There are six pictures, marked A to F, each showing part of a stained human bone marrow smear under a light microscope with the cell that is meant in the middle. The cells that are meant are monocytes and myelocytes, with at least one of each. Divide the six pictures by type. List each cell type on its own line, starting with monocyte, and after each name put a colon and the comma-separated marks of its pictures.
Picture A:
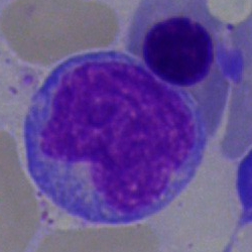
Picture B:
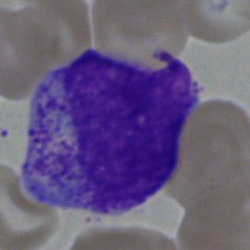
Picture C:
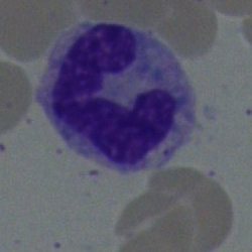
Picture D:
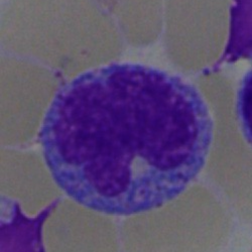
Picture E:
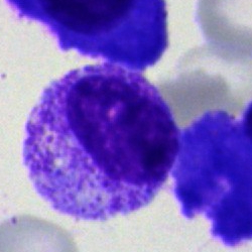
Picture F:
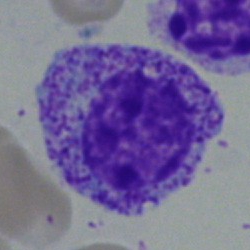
monocyte: A, C, D
myelocyte: B, E, F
